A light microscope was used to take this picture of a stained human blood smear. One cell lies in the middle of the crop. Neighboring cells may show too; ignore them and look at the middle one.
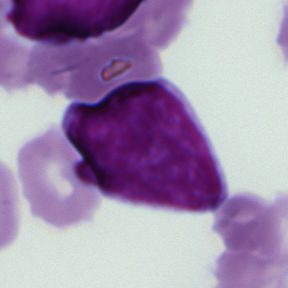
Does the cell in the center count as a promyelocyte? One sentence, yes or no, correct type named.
No, this one is a myeloblast; it is not a promyelocyte.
